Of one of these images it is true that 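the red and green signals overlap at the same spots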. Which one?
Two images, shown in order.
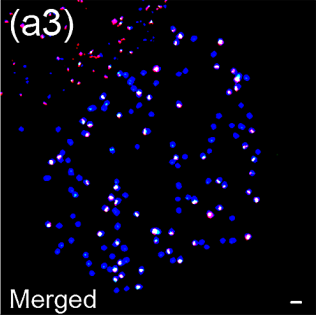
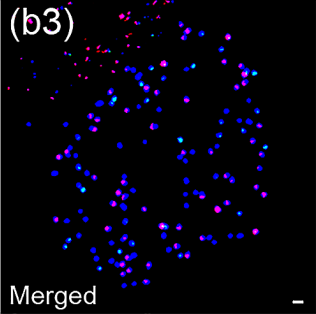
The first image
